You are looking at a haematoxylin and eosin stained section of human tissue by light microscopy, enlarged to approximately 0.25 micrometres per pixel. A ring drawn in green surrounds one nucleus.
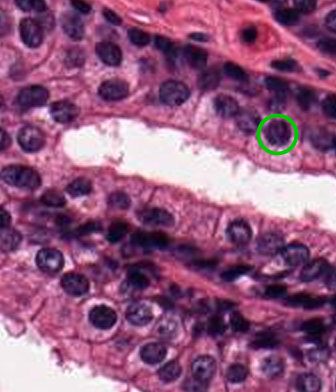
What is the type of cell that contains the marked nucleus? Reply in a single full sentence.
The marked nucleus is housed in a prostate gland luminal cell.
